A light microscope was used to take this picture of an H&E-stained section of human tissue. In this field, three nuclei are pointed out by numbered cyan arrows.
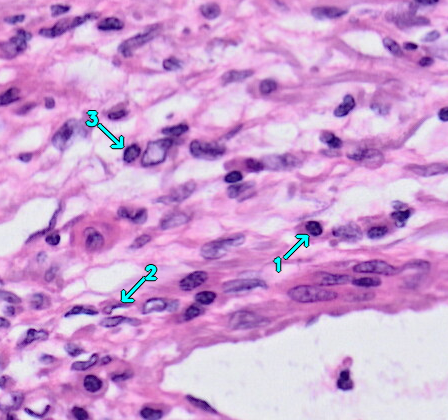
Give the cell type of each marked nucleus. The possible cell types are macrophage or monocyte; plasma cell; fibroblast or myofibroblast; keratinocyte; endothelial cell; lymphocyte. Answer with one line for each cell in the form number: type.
1: plasma cell
2: fibroblast or myofibroblast
3: plasma cell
